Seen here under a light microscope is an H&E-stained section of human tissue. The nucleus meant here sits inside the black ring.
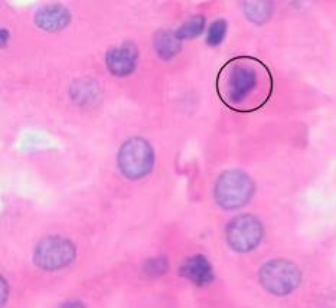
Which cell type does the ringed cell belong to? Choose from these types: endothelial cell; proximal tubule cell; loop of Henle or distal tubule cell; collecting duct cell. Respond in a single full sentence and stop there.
It is a proximal tubule cell that the ringed cell represents.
